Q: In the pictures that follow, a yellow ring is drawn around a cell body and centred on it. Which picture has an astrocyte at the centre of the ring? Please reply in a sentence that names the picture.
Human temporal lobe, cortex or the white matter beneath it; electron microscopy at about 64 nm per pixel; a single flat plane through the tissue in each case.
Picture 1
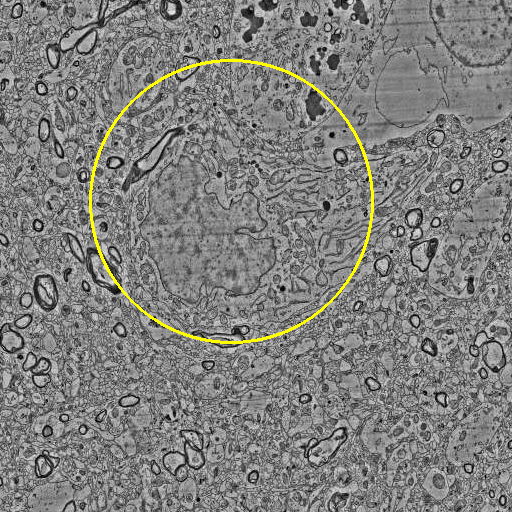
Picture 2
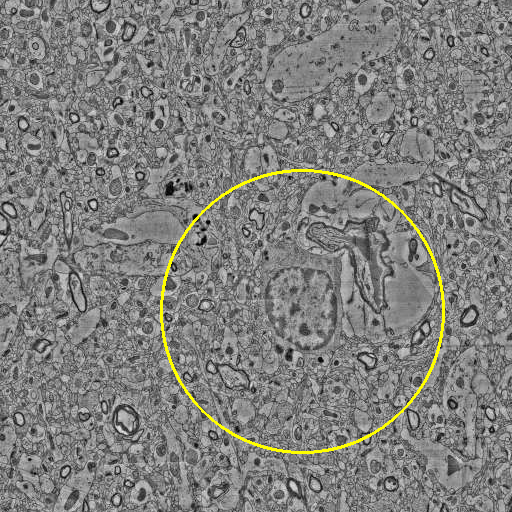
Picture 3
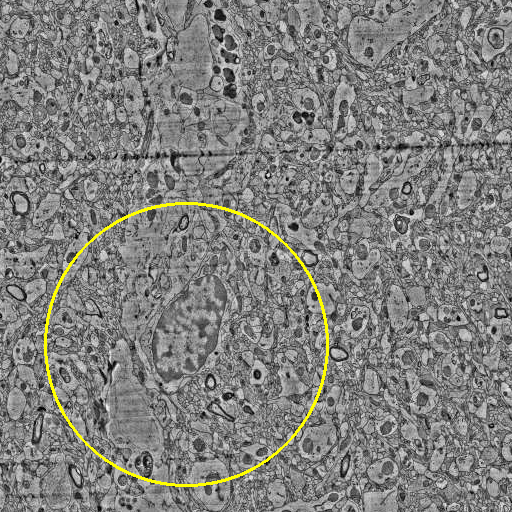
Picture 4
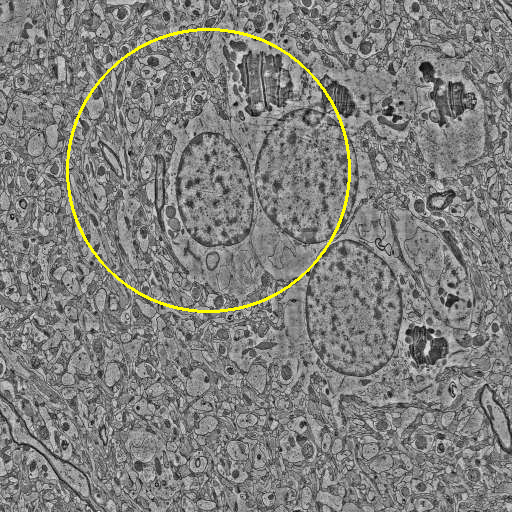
Picture 4 shows it at the centre of its ring.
